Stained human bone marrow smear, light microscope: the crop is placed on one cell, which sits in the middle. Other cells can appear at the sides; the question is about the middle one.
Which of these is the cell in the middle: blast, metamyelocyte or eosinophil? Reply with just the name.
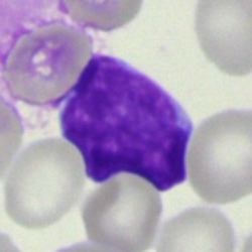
blast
